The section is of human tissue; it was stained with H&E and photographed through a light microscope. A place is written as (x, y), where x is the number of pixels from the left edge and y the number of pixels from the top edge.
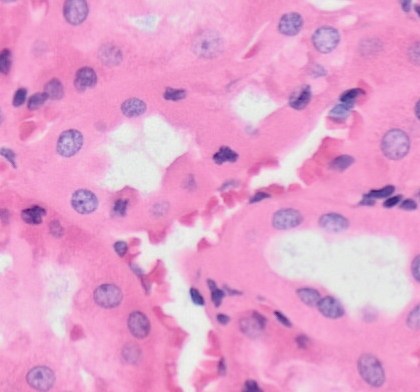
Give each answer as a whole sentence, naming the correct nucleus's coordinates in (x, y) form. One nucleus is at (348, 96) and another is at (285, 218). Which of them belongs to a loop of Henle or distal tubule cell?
The nucleus at (285, 218), rather than the other one, belongs to a loop of Henle or distal tubule cell.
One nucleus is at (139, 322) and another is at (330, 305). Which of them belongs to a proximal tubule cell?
Among the two, the nucleus at (139, 322) is the nucleus of a proximal tubule cell.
